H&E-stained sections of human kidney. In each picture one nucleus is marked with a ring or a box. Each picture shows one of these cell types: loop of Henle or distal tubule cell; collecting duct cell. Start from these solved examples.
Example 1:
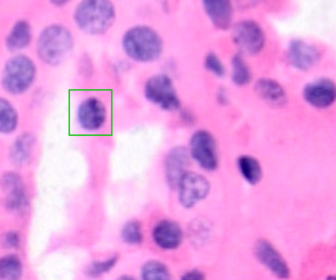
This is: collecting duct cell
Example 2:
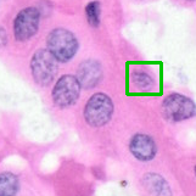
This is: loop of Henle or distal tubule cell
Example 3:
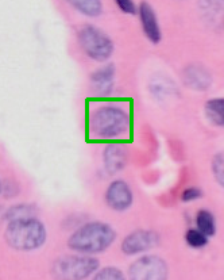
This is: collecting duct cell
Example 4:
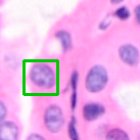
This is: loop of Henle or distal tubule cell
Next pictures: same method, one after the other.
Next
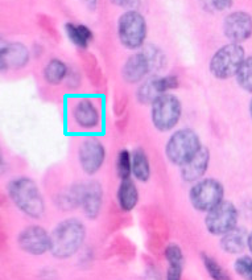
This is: collecting duct cell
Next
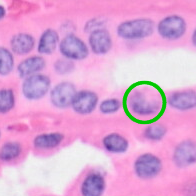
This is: collecting duct cell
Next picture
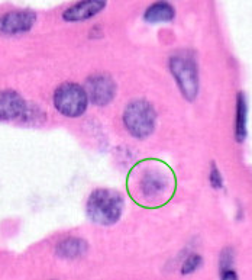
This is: loop of Henle or distal tubule cell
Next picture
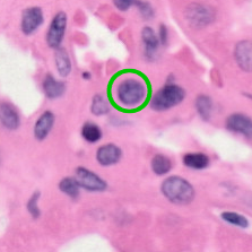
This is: collecting duct cell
